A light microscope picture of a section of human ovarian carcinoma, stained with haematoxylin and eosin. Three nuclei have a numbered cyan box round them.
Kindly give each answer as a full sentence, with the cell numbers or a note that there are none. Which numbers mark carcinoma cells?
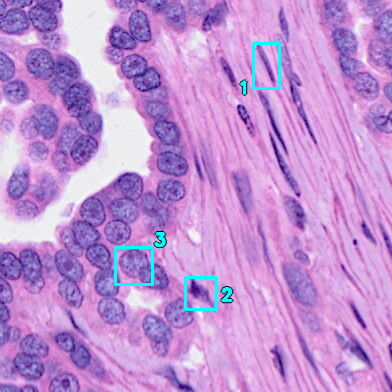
Only one choice fits: cell 3 is a carcinoma cell, and no other.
